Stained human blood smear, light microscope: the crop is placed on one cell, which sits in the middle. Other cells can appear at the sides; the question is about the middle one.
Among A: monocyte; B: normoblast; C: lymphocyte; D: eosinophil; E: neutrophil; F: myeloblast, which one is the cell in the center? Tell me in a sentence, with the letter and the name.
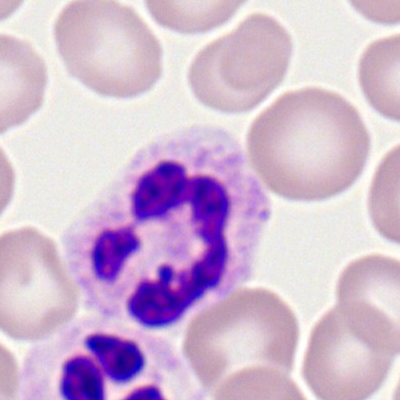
Here the central cell is a neutrophil, and option E is correct.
